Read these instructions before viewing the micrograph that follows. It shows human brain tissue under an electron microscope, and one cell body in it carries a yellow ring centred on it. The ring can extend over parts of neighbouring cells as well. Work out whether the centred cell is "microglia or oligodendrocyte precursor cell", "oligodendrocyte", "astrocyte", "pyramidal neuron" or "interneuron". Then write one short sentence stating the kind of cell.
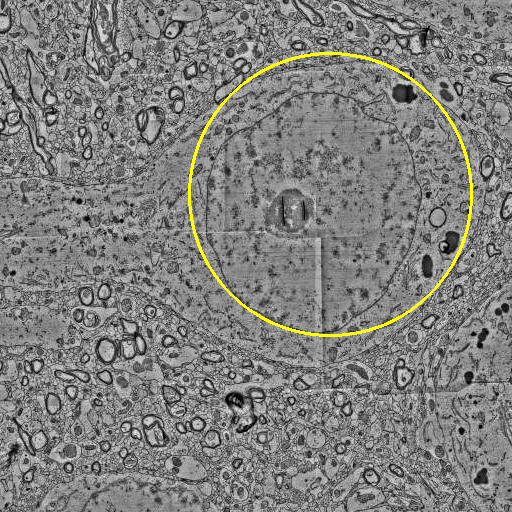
The ringed cell is a pyramidal neuron.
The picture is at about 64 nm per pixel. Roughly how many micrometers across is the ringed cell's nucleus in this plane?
The nucleus appears about 15 micrometres across in this plane.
